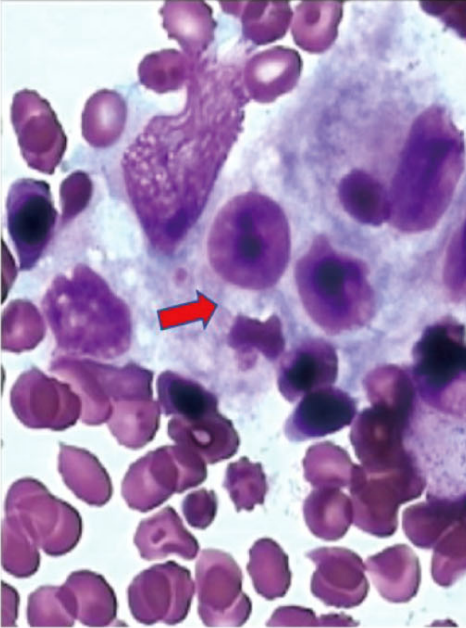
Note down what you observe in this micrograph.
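A bone marrow smear shows a cluster of large histiocytes, or macrophages, surrounded by many pink-red erythrocytes. Smaller cells with dense, dark purple nuclei and scant cytoplasm lie at the edges of the cluster and among the red blood cells.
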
